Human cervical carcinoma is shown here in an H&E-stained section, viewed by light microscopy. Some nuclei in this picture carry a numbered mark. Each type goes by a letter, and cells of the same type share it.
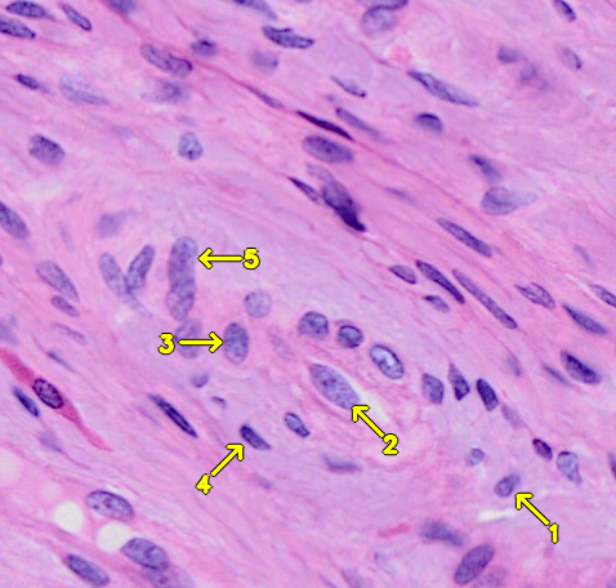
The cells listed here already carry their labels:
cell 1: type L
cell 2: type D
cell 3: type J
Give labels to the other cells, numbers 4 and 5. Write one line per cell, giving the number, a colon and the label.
4: type L
5: type L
